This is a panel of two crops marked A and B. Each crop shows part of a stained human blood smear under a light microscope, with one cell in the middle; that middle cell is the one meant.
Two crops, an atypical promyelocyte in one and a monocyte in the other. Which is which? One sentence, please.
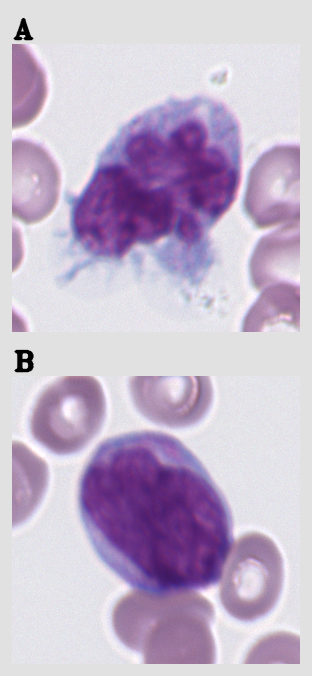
As for crop A, it is a monocyte; crop B, by contrast, is an atypical promyelocyte.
